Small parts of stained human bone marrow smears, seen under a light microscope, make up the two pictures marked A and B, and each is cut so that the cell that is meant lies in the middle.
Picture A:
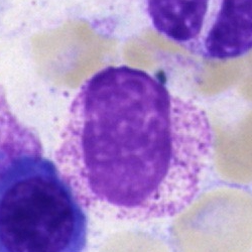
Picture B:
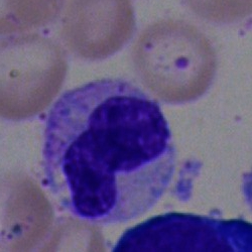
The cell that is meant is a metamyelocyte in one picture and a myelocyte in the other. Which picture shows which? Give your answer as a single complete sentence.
Picture B shows a metamyelocyte, while picture A shows a myelocyte.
